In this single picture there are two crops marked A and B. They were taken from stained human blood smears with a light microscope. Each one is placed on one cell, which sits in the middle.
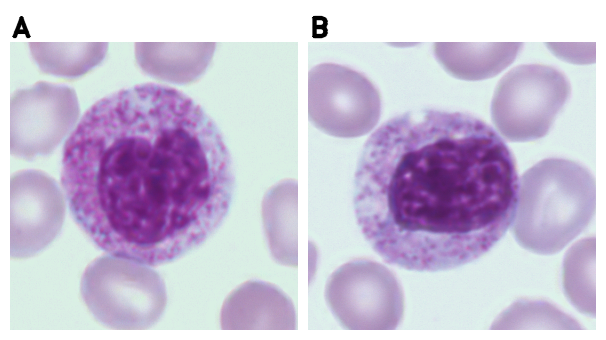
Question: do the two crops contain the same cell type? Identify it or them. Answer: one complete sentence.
No, crop A captures a band neutrophil; meanwhile crop B captures a metamyelocyte.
